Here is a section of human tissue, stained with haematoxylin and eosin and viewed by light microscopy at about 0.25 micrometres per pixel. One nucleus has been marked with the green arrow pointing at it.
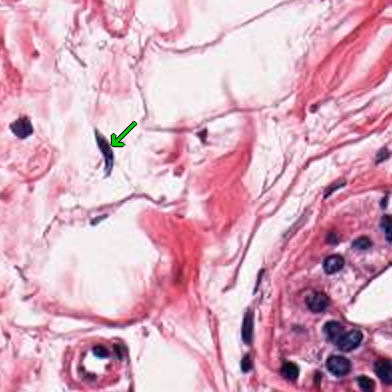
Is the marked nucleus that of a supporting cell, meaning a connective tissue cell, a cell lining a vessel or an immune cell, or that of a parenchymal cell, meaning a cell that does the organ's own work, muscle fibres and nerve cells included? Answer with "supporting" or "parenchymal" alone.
supporting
